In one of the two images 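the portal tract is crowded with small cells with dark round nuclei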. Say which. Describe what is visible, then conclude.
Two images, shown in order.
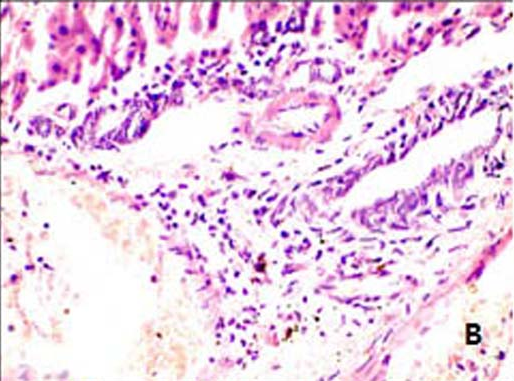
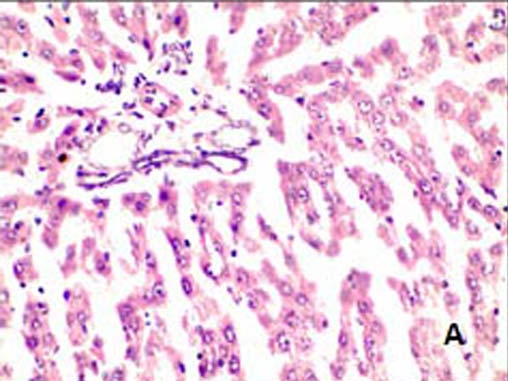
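First image: dense sheets of small dark round nuclei fill the stroma around ducts and vessels. Second image: the duct and vessels lie in scant stroma with only a few scattered nuclei. So: the first image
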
